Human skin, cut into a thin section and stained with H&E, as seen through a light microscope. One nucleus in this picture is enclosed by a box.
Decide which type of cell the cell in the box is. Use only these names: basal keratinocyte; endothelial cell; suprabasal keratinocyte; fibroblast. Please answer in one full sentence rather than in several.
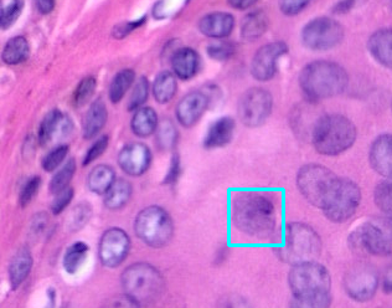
Right, so the cell in the box is a suprabasal keratinocyte, to answer that.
